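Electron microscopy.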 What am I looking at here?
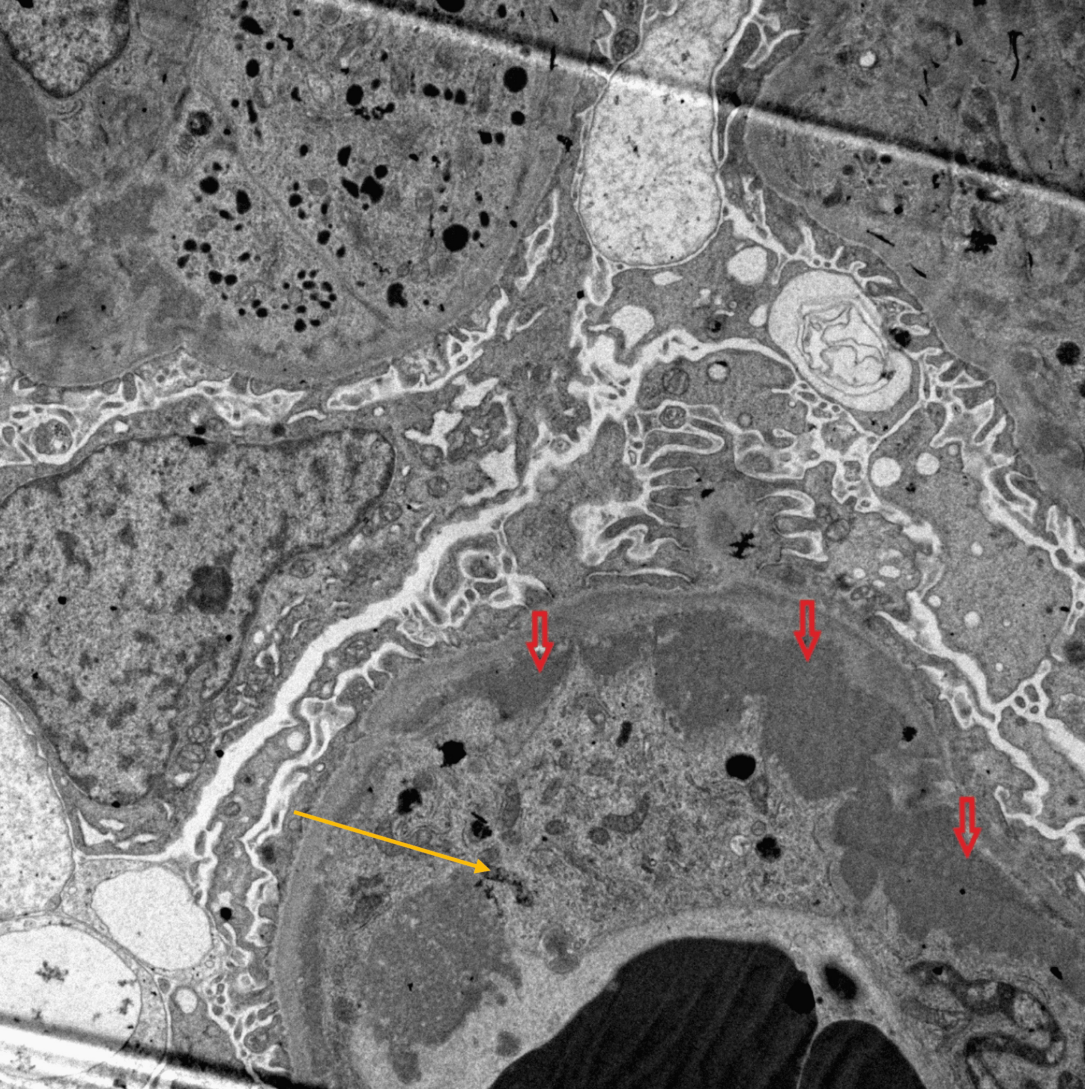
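This transmission electron micrograph shows a glomerular capillary loop whose lumen is largely filled by a large cell with abundant cytoplasm containing organelles, small vacuoles and scattered dark inclusions; a red blood cell lies at the lower edge of the lumen. Along the inner side of the capillary wall, beneath the basement membrane, runs a thick band of homogeneous electron-dense material. Outside the wall, podocytes send interdigitating foot processes onto the basement membrane, with pale urinary space between them. At upper left, cells hold numerous round, very dark droplets, and at left a cell with a large, finely granular nucleus is seen.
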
